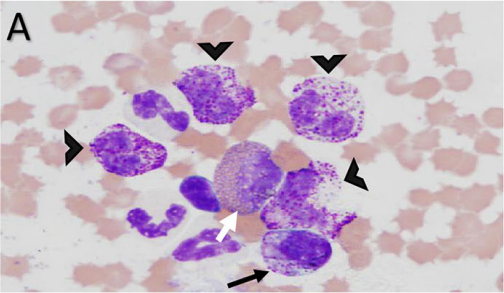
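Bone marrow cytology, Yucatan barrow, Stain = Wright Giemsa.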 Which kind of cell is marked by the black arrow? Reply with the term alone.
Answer: Midstage basophilic precursor.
